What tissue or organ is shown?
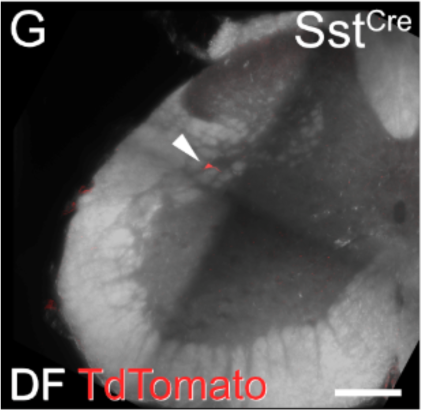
spinal cord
